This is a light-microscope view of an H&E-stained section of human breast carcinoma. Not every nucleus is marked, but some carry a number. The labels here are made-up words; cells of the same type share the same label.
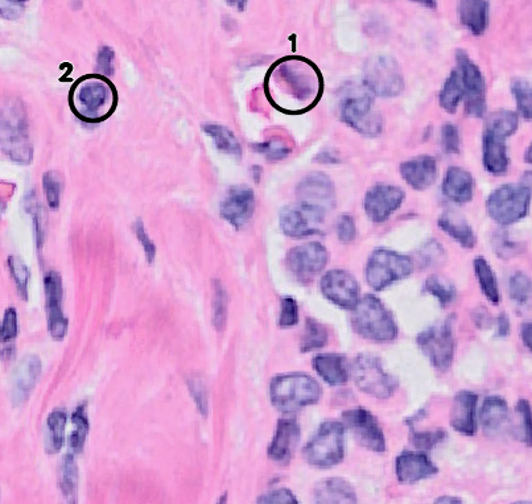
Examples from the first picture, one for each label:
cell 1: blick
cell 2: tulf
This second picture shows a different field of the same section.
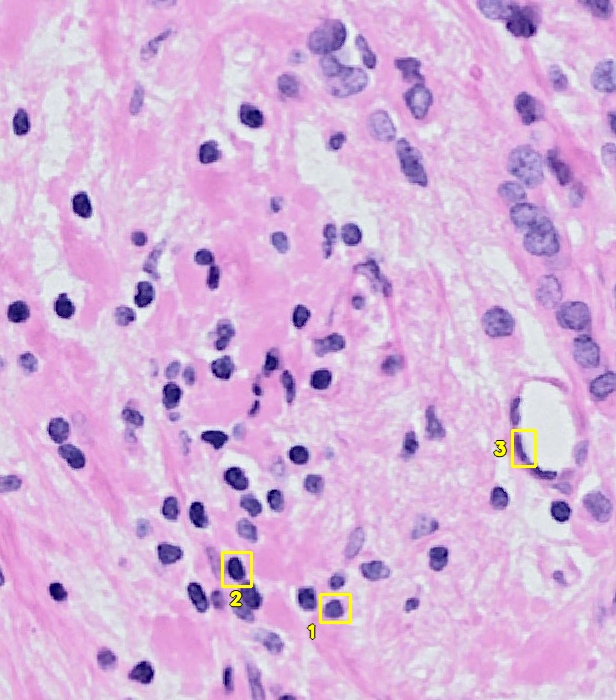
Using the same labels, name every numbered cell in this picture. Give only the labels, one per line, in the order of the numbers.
tulf
tulf
blick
